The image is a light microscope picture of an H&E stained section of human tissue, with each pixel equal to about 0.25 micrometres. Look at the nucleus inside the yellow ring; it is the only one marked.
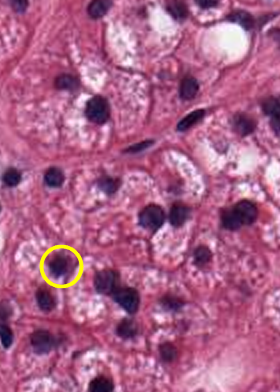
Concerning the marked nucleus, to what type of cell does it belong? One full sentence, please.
To an adrenal cortical cell belongs the marked nucleus.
